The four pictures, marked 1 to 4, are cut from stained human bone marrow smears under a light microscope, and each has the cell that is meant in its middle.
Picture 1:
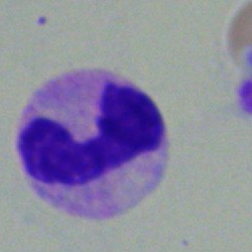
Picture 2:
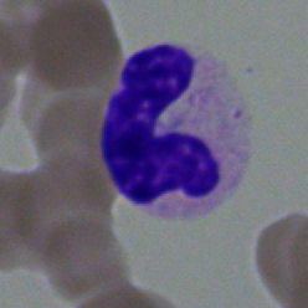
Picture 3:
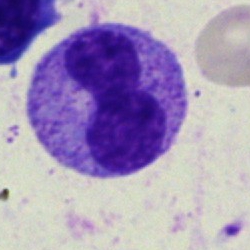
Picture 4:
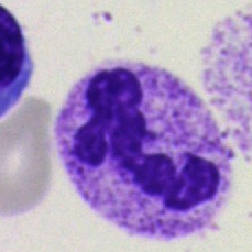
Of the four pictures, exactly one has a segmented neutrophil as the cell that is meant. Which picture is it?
4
